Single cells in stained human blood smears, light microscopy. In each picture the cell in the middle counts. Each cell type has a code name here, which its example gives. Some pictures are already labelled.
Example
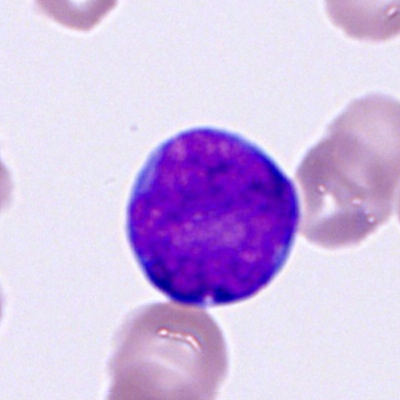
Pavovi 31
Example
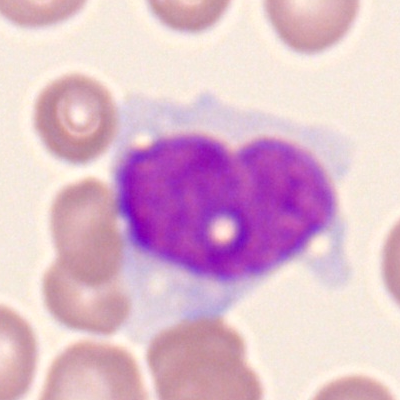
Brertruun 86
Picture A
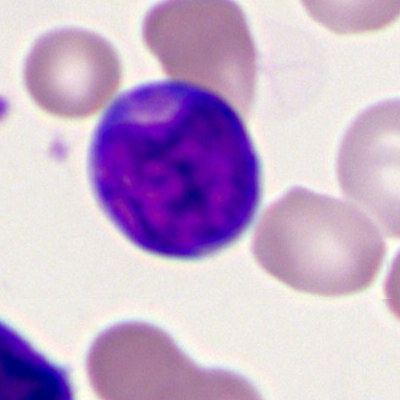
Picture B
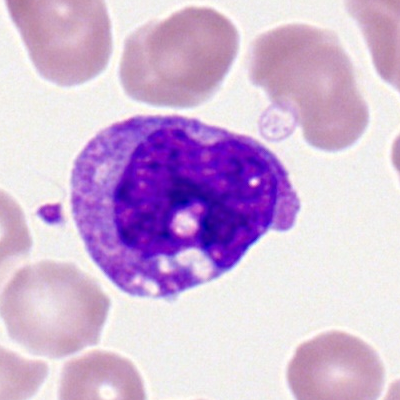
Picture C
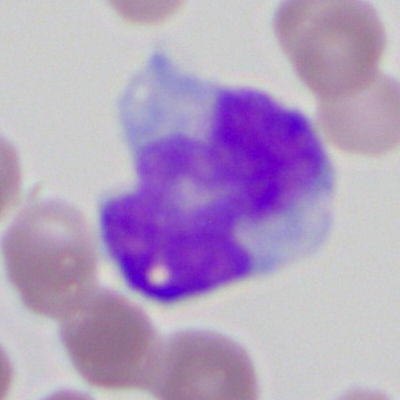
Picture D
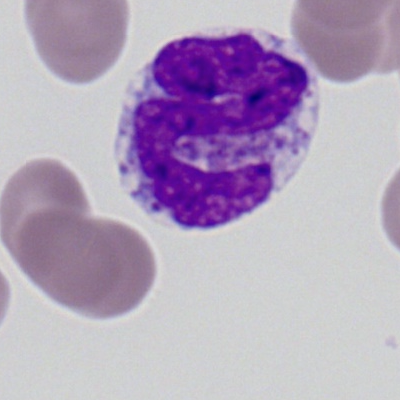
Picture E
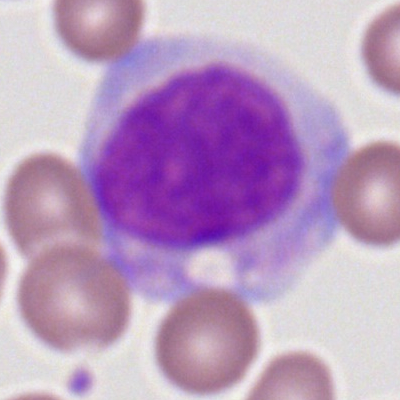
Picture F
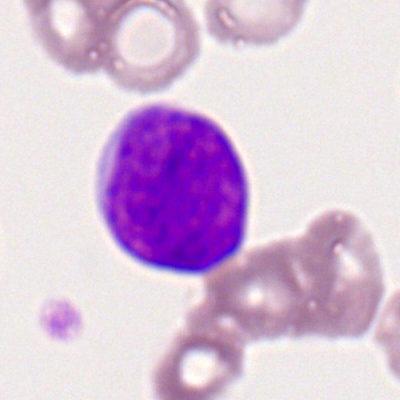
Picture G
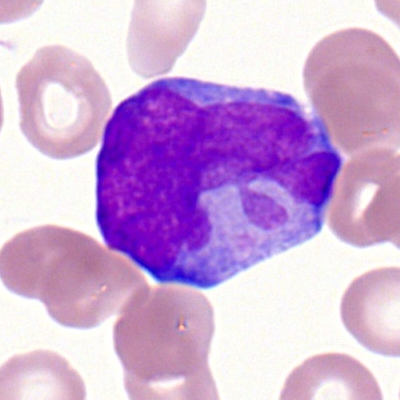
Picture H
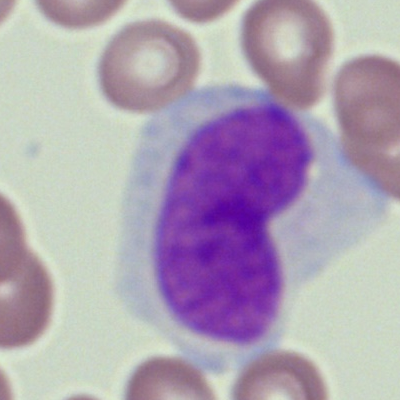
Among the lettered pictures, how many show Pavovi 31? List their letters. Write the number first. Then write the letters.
Count: 3 (A, F, G)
